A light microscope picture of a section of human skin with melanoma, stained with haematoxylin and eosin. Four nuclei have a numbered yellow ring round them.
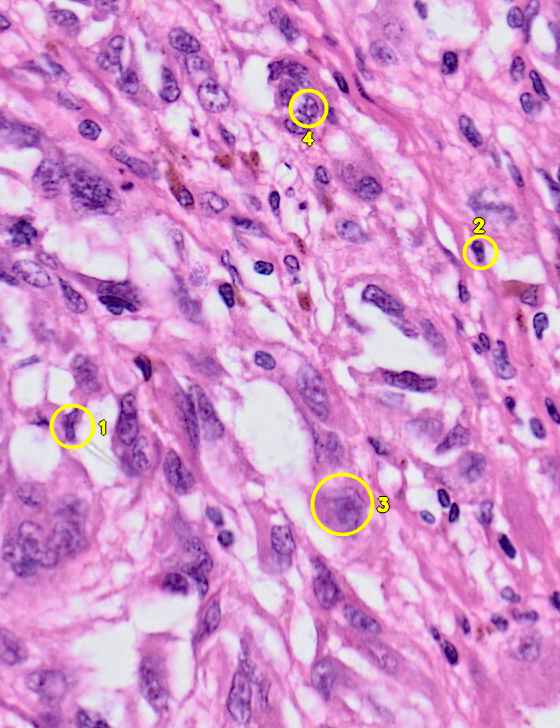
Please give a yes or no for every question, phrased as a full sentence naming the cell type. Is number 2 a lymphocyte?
Yes, the cell that bears number 2 is a lymphocyte.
